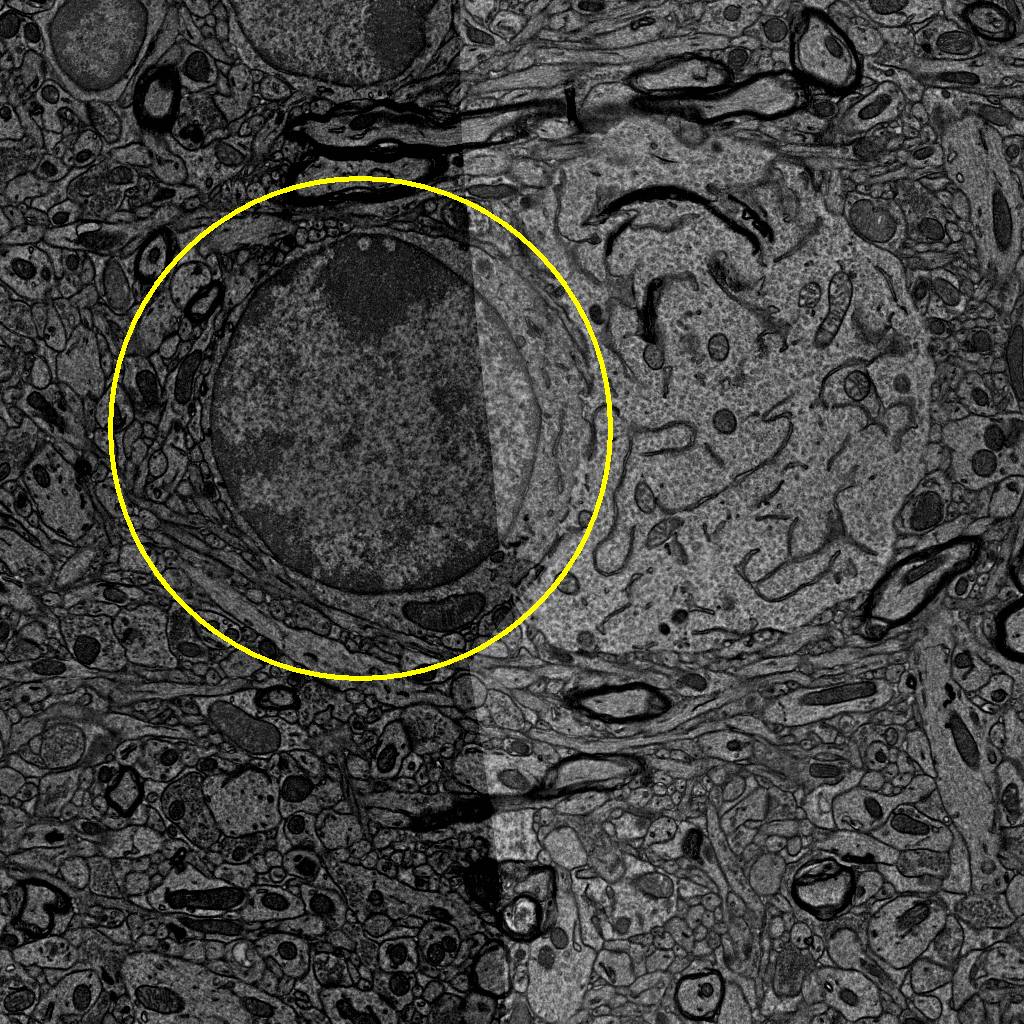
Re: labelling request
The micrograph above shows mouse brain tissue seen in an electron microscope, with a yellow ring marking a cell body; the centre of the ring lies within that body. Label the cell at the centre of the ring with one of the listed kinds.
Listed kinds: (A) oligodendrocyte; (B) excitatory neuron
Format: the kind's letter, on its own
A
